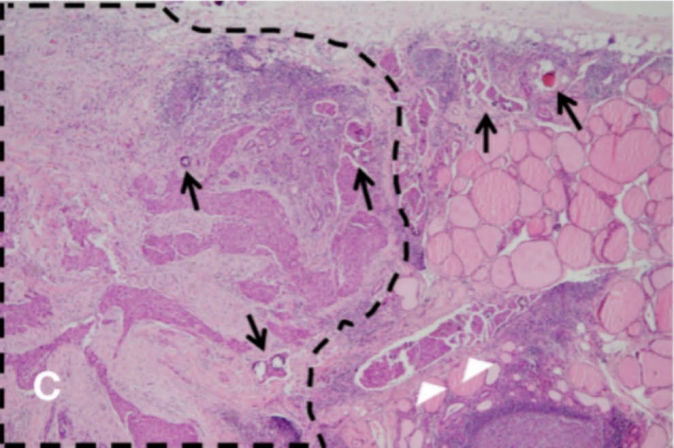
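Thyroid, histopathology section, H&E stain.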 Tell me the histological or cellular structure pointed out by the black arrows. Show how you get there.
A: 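Small round bodies with sharp outlines lie within the tissue at the arrow tips. Some of these bodies are dense and darker than the surrounding tissue.
Hence: psammoma bodies.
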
